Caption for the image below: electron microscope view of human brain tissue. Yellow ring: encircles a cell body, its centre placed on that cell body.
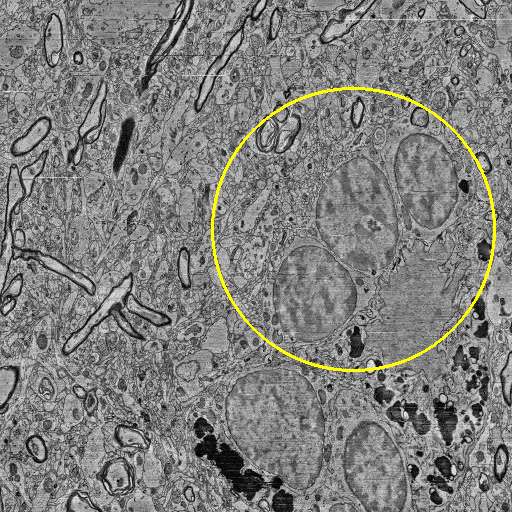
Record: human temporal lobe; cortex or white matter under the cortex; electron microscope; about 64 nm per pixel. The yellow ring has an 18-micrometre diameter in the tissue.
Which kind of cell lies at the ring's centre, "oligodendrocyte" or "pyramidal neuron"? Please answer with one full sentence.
The picture shows an oligodendrocyte at the centre of the yellow ring.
